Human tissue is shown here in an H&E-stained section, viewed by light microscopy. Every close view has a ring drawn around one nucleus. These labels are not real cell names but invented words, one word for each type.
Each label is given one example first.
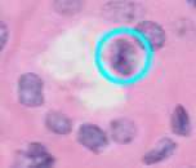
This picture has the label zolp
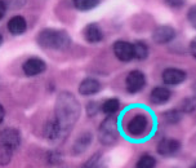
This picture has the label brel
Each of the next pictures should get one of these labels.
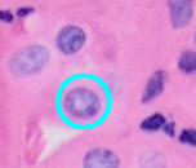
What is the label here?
zolp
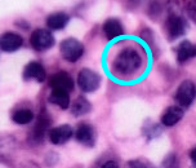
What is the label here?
brel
